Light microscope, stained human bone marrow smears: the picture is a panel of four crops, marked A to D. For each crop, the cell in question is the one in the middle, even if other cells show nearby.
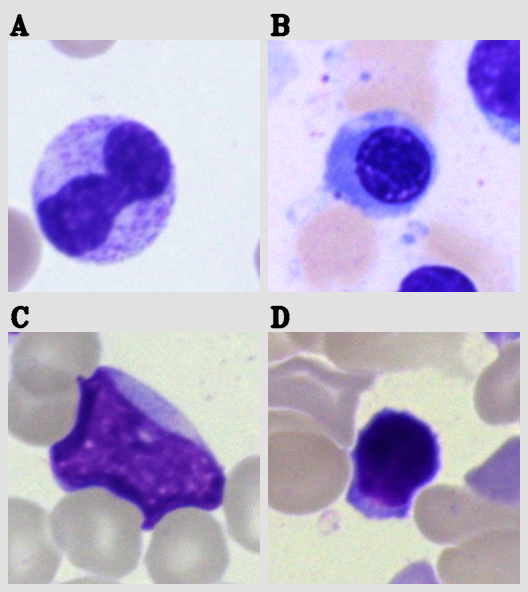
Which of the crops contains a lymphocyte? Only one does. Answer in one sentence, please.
The one crop in the set with a lymphocyte is crop D.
